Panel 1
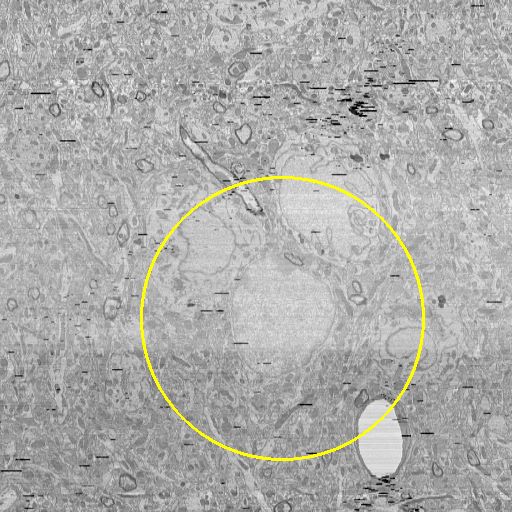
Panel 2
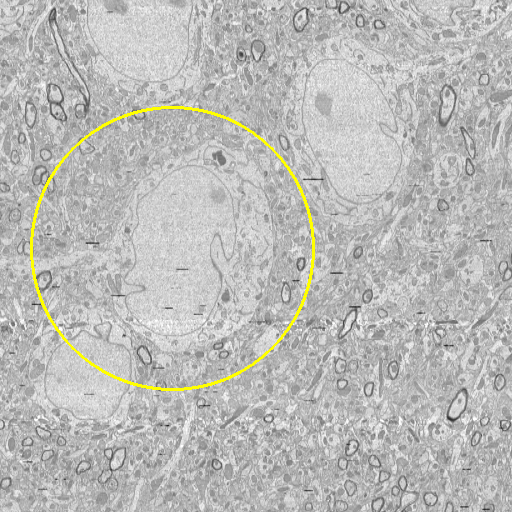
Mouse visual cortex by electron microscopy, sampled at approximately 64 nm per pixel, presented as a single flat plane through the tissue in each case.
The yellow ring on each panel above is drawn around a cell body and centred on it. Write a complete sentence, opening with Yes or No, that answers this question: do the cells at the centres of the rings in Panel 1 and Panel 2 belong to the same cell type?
No, the two cells belong to two cell types.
